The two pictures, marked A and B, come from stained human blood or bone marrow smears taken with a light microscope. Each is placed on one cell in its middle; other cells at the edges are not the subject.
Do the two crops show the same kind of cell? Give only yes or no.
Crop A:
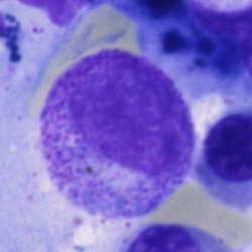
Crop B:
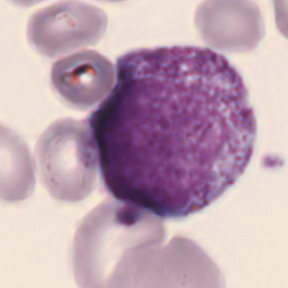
yes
